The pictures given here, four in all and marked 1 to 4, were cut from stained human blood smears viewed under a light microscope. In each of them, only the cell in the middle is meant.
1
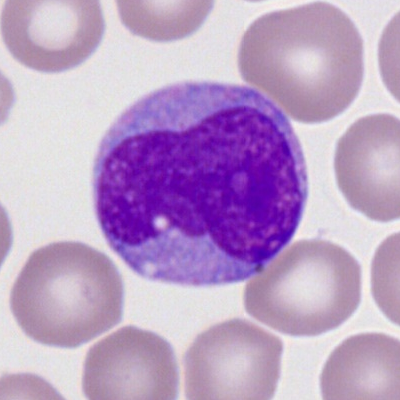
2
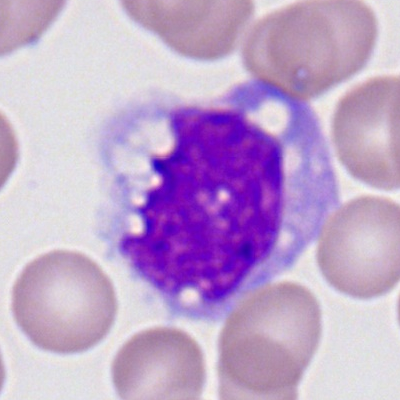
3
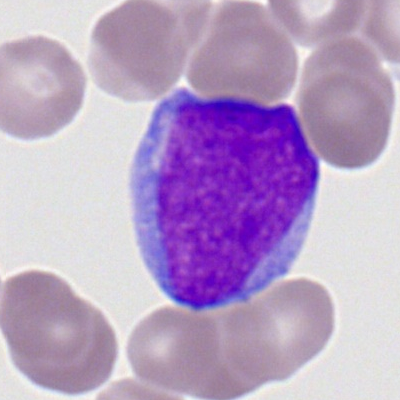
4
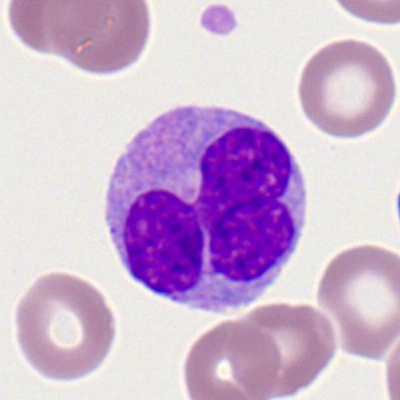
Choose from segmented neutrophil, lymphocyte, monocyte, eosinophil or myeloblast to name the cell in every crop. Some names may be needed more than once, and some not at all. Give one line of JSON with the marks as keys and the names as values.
{"1": "monocyte", "2": "monocyte", "3": "myeloblast", "4": "monocyte"}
